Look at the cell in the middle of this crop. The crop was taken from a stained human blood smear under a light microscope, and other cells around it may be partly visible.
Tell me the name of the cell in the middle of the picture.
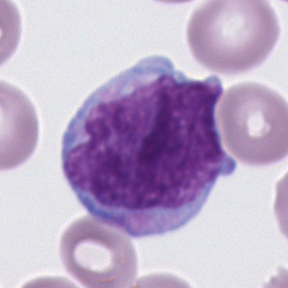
atypical promyelocyte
